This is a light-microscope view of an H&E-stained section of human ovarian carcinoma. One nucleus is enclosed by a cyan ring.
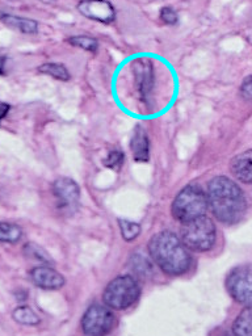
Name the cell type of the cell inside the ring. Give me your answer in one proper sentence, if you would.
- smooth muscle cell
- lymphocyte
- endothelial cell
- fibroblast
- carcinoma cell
It is as a fibroblast that the cell inside the ring is classified.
